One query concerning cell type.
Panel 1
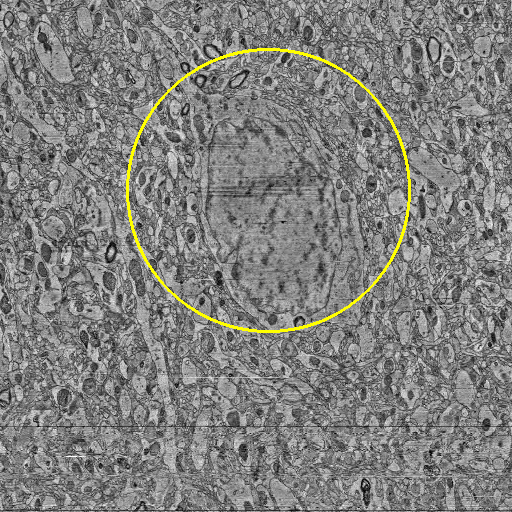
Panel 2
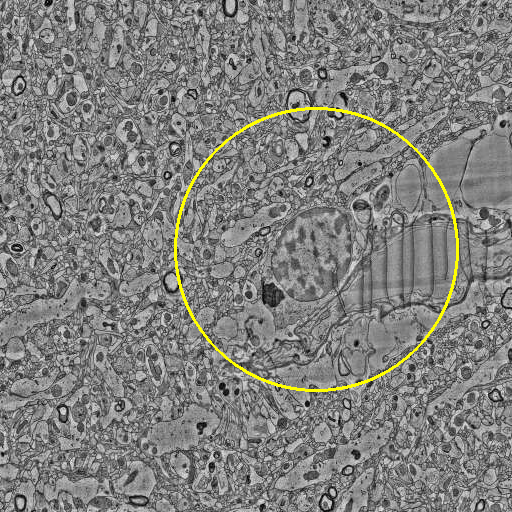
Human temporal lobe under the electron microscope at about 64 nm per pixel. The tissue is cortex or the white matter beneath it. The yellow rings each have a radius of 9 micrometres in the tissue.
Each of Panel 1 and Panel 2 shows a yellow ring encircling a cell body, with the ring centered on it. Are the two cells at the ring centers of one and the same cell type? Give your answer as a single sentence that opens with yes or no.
No, the cell centered in Panel 1 and the one in Panel 2 are of two types.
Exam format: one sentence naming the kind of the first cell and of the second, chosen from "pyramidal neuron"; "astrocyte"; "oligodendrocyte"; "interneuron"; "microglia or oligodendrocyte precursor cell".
The first picture's cell is an interneuron, and the second picture's cell is an oligodendrocyte.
